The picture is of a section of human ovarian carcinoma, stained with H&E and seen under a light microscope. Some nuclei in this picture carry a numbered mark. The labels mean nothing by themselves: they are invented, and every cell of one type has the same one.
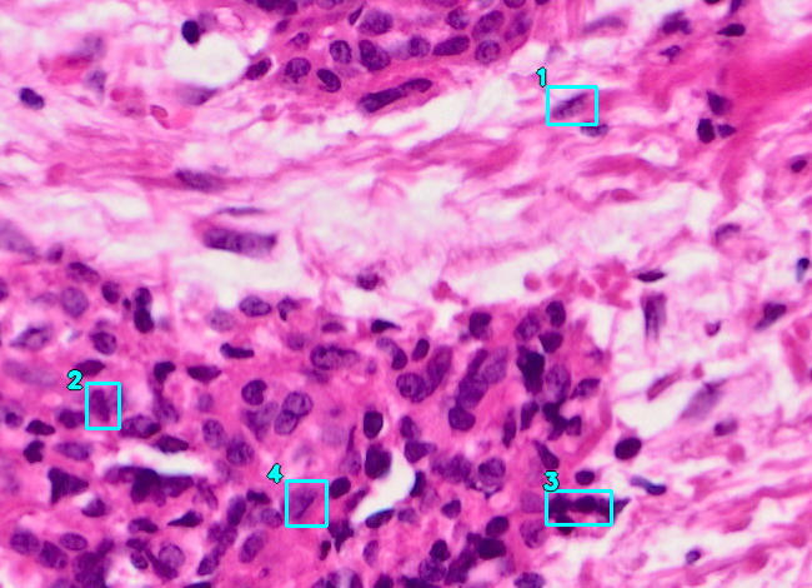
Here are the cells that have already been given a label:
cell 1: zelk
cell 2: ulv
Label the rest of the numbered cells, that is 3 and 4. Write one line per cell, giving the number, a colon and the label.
3: ulv
4: ulv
